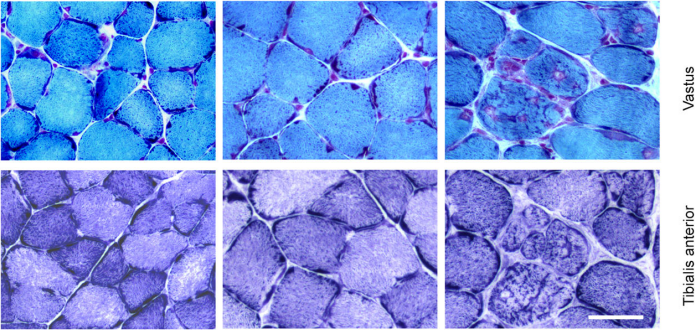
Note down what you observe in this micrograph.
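Transverse sections of skeletal muscle fibers cut in cross-section, each fiber a polygonal to rounded profile packed against its neighbours. In the upper row the fibers stain blue-green with a fine granular texture, small purple nuclei sit at the fiber edges and thin pink-purple interstitial tissue lies between fibers. In the right-hand column the fibers are more rounded and several contain irregular dark purple clumps and clear vacuole-like spaces that break up the internal pattern.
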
